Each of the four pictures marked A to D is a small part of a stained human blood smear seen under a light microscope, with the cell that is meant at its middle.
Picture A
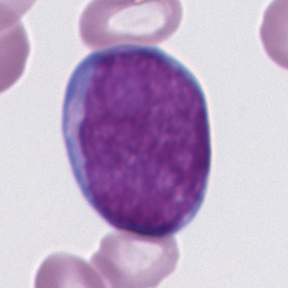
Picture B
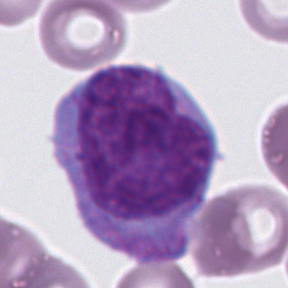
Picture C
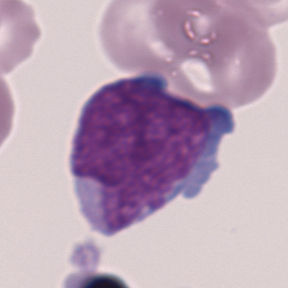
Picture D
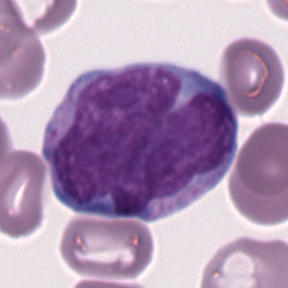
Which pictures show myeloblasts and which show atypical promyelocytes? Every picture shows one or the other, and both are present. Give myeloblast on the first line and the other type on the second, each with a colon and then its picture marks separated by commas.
myeloblast: A, C
atypical promyelocyte: B, D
